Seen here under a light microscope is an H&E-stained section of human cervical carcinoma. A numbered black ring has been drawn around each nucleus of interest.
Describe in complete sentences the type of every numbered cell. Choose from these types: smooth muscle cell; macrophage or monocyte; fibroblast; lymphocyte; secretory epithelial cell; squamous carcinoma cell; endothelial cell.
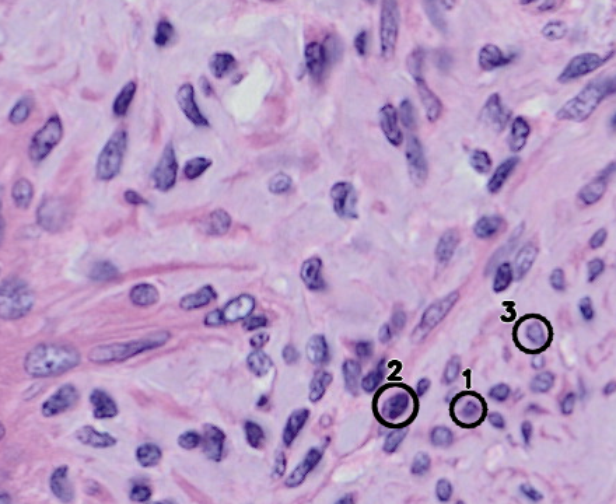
Cell 1 is a smooth muscle cell, cell 2 is a lymphocyte and cell 3 is a smooth muscle cell.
